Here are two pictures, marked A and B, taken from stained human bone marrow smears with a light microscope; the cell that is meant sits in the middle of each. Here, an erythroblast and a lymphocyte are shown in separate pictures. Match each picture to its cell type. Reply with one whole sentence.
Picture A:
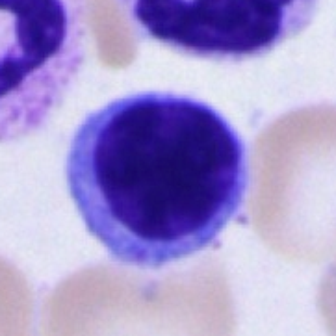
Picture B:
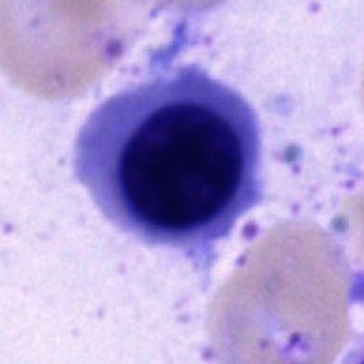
In picture A the cell is a lymphocyte; in picture B, an erythroblast.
